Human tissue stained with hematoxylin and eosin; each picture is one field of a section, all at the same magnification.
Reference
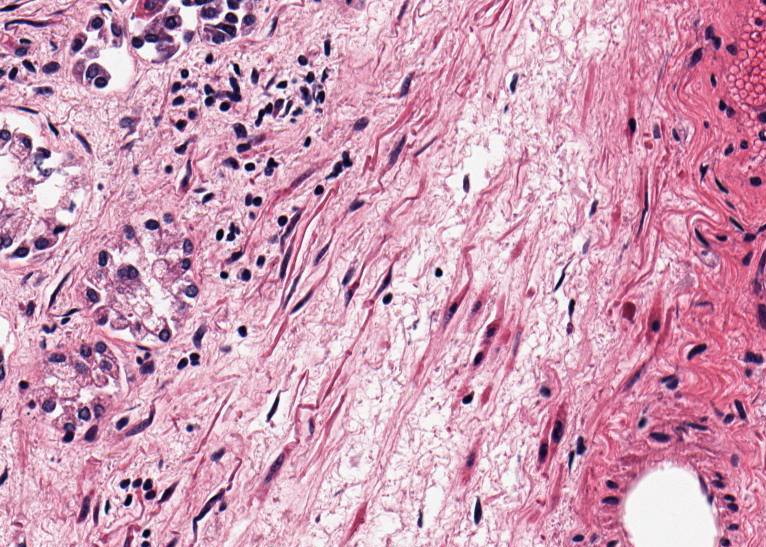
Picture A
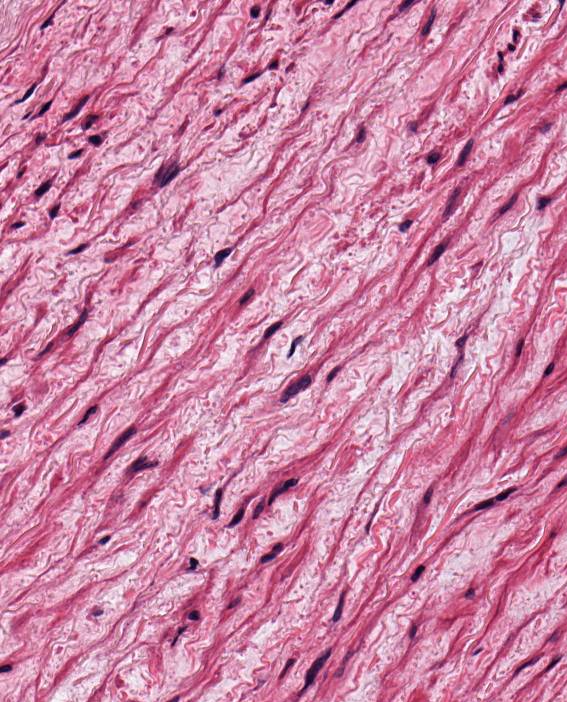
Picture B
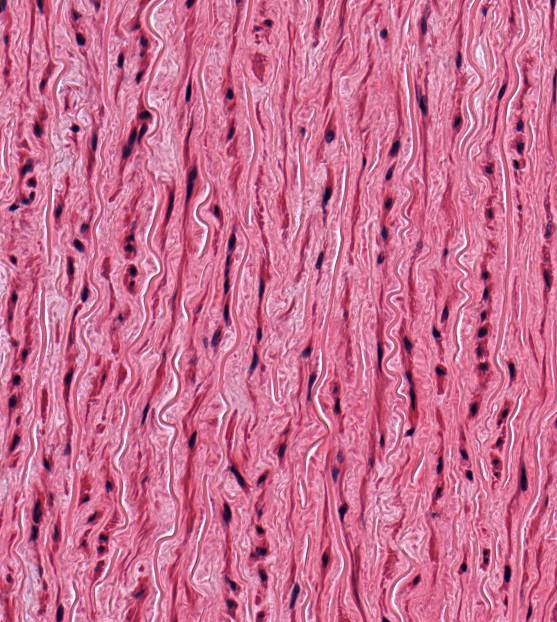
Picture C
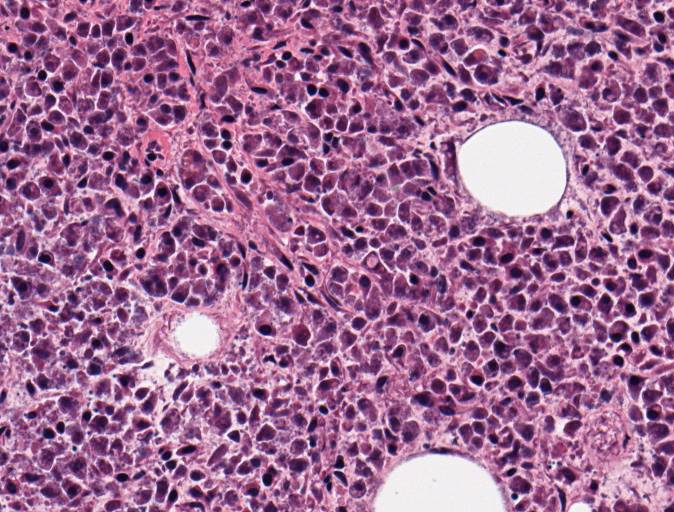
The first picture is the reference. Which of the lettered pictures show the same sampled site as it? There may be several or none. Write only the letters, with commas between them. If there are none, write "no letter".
no letter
